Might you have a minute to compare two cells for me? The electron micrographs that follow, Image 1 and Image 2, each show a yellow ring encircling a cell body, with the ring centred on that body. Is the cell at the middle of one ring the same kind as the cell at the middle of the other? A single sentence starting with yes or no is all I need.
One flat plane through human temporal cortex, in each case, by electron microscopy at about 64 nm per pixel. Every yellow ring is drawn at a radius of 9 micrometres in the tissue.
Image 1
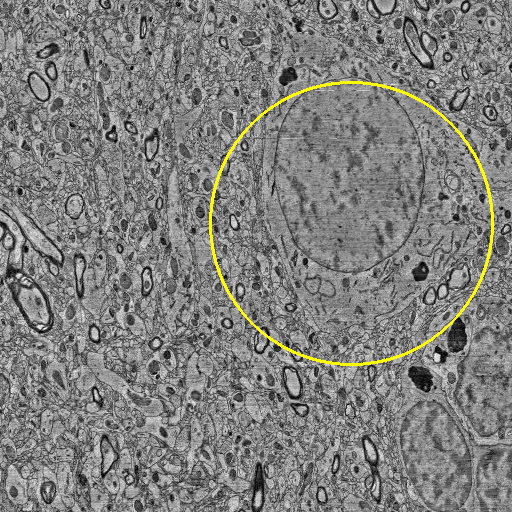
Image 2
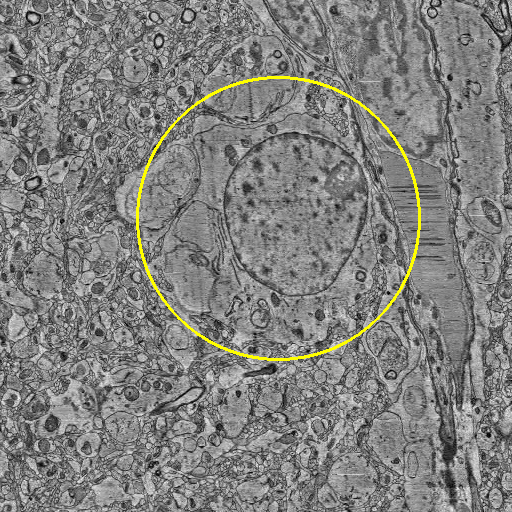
No, the cells in the middle of the two rings are of two separate kinds.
